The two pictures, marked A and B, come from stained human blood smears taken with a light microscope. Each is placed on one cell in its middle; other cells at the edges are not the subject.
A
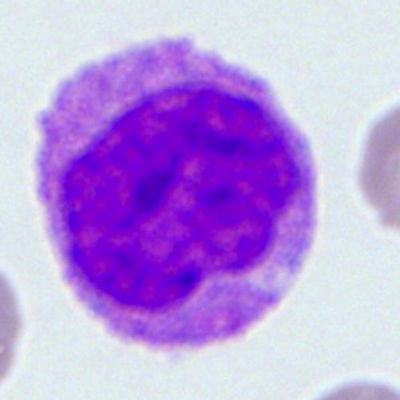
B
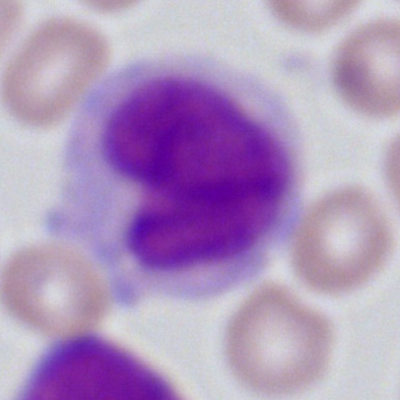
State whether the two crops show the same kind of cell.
yes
